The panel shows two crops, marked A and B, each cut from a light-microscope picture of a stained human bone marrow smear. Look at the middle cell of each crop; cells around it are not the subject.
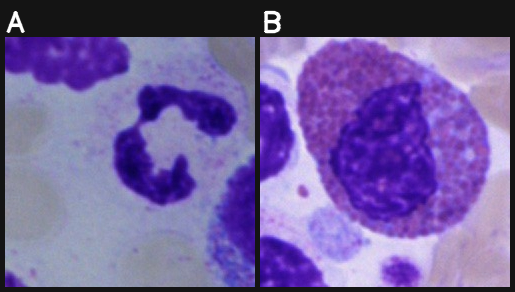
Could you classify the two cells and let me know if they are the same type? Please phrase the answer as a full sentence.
No, within crop A lies a segmented neutrophil, and within crop B lies an eosinophil.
